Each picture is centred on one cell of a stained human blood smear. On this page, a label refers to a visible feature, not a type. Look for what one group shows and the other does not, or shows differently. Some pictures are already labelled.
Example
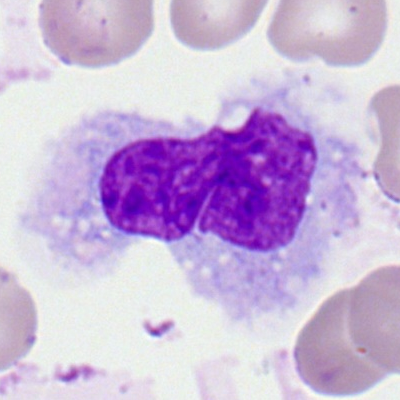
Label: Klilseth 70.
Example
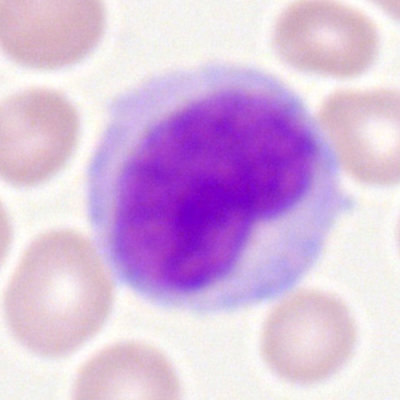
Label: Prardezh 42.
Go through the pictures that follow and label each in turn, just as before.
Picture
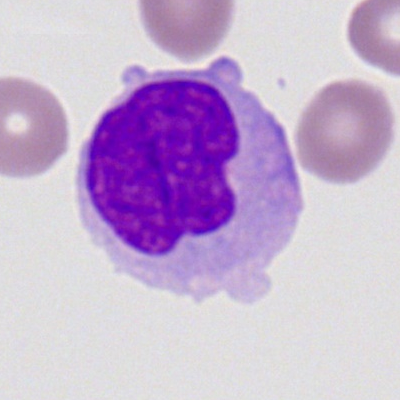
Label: Prardezh 42.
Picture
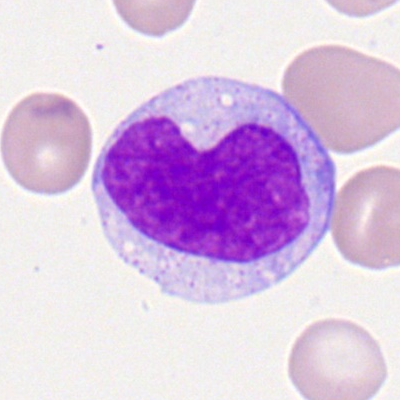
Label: Prardezh 42.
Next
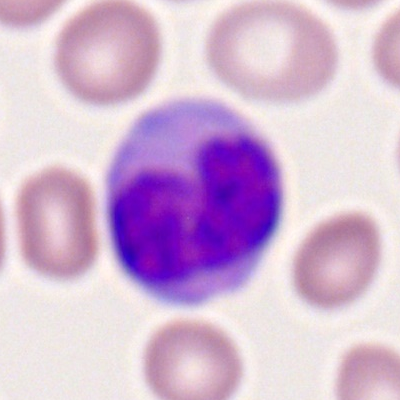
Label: Klilseth 70.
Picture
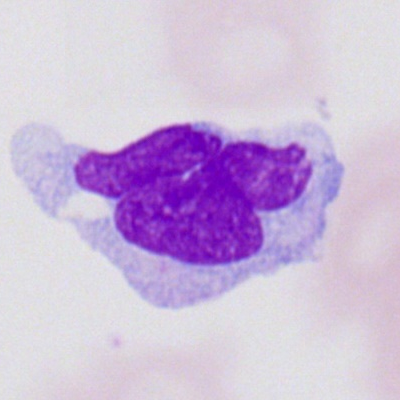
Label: Klilseth 70.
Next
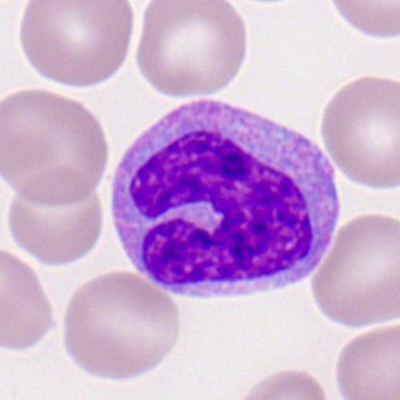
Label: Prardezh 42.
